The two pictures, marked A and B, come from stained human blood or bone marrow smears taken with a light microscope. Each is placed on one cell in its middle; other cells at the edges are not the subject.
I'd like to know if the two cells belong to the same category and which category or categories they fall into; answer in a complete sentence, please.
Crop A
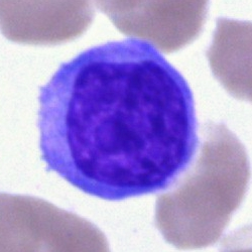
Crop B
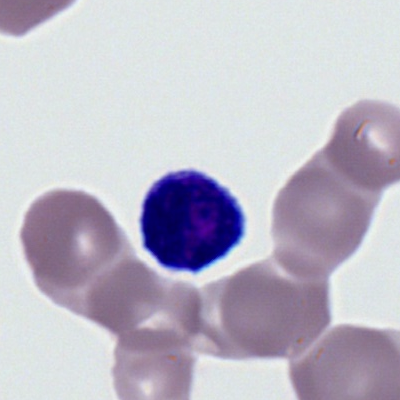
No, while a blast is found in crop A, a lymphocyte is found in crop B.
